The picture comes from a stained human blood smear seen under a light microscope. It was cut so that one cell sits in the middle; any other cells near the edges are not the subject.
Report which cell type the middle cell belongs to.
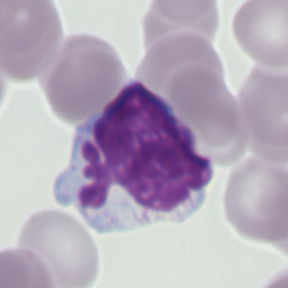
large granular lymphocyte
